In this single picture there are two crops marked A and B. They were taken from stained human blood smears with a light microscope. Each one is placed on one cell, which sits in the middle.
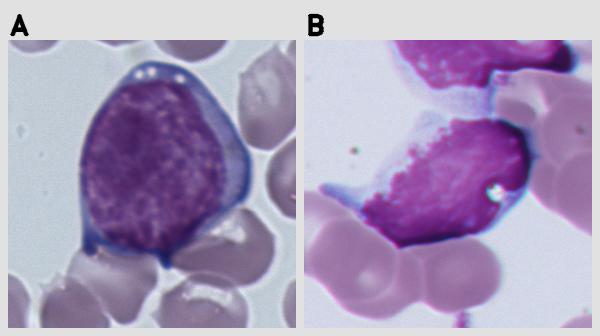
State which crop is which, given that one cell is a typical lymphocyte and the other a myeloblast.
A: myeloblast
B: typical lymphocyte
